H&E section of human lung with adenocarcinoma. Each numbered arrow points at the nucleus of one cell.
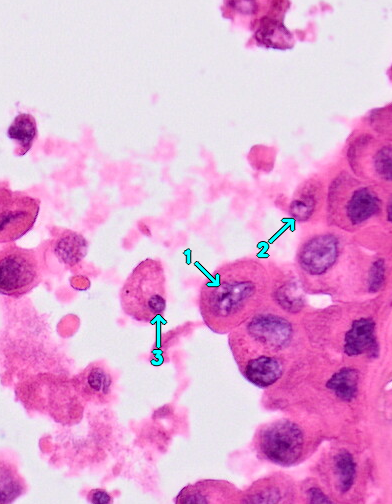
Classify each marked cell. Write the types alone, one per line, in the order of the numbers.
carcinoma cell
macrophage or monocyte
macrophage or monocyte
